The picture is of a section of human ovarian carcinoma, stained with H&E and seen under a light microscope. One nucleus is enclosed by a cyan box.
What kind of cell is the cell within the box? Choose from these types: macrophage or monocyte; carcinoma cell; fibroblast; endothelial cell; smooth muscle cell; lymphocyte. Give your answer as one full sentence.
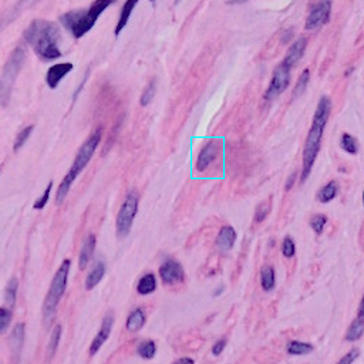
This is a smooth muscle cell.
